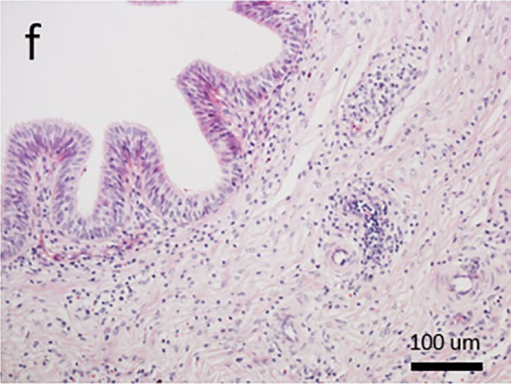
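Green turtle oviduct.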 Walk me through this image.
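This section shows folded mucosa with finger-like folds lined by a tall columnar epithelium whose elongated nuclei are crowded in several rows. Beneath it the lamina propria is a loose, pale pink connective tissue with scattered spindle-shaped nuclei and small blood vessels. A small dense cluster of dark round nuclei lies within the stroma. No red glands occupy the lamina propria. A folded, gland-free mucosa of this kind fits the vagina.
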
